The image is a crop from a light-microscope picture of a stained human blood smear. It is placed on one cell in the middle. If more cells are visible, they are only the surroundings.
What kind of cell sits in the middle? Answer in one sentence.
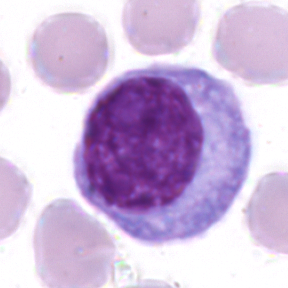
Among the cells in view, the one in the middle is a plasma cell.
